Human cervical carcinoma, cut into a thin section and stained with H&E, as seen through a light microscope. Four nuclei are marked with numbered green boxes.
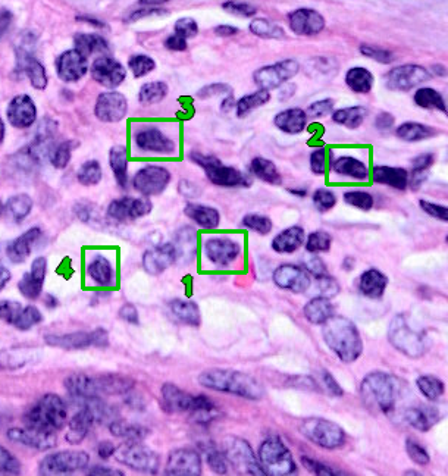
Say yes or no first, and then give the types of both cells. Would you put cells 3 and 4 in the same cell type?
Yes, as for cells 3 and 4, both are lymphocytes.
